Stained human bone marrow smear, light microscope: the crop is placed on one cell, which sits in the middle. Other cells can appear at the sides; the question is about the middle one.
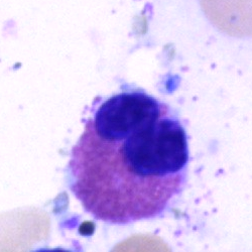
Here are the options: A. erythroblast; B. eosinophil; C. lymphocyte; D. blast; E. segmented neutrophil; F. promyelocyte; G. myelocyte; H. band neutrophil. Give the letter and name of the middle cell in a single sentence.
The central cell in this crop is an eosinophil, corresponding to option B, the correct option.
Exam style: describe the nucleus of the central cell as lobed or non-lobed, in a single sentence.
The nucleus has been partitioned into two or more lobes.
